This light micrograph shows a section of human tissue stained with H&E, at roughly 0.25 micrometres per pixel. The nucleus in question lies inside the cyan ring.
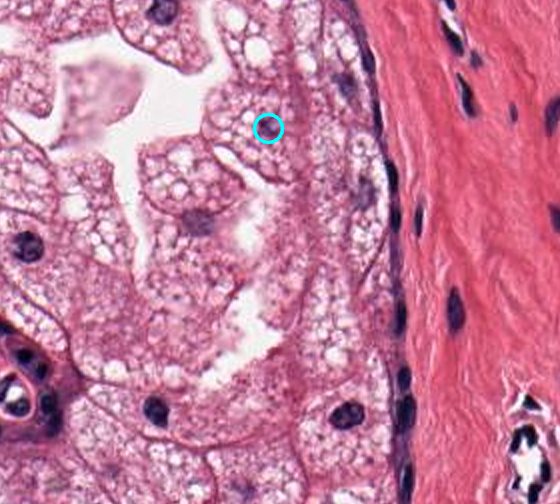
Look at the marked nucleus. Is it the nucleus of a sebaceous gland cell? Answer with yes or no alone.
yes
